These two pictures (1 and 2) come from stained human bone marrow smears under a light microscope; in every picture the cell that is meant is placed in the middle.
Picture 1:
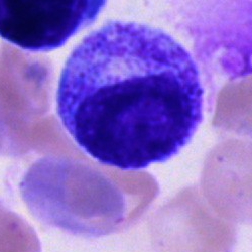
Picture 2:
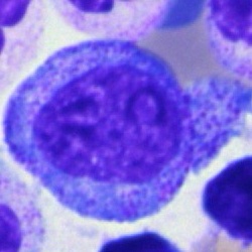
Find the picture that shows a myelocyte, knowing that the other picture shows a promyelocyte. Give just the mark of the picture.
1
